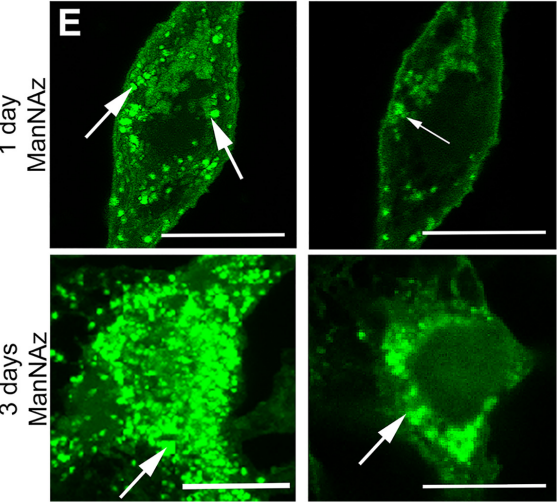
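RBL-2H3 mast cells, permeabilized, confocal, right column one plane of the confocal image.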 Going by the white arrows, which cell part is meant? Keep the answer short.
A: Cytoplasmic vesicles.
